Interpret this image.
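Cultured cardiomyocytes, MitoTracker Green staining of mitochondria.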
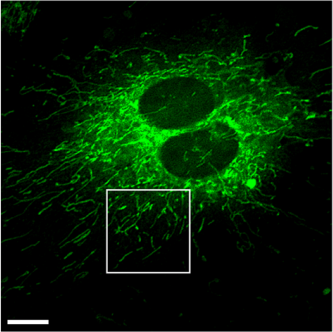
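Small bright green dots and short fragments are scattered among the threads. A white box marks a peripheral region of the cytoplasm.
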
